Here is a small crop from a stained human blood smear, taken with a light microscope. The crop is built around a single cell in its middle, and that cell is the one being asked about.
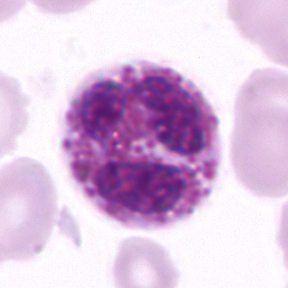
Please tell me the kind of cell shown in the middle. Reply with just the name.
eosinophil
